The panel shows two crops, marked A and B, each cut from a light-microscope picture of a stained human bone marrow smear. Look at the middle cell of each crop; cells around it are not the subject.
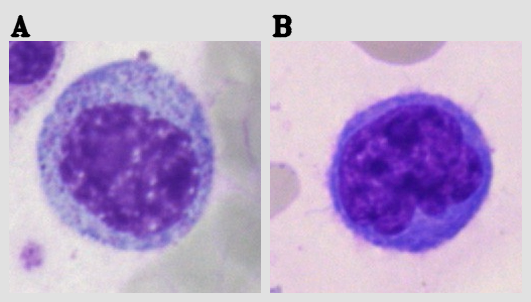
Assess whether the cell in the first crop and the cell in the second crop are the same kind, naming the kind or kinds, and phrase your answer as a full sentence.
No, crop A is where a promyelocyte is, and crop B is where a monocyte is.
